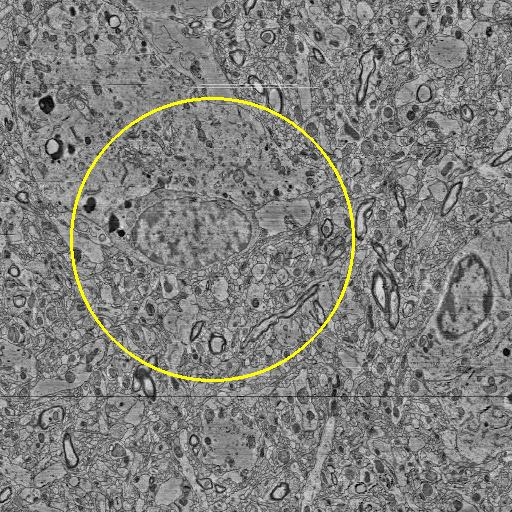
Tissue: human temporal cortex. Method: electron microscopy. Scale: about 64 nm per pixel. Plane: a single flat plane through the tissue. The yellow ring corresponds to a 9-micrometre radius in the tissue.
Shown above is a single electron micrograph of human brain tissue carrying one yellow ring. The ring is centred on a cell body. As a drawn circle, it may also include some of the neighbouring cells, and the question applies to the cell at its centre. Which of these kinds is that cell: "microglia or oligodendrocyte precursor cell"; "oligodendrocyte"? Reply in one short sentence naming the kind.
The cell marked by the ring is an oligodendrocyte.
